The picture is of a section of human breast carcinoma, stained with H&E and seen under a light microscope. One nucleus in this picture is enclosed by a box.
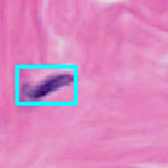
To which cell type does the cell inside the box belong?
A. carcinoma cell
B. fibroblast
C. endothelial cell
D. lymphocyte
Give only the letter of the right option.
B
